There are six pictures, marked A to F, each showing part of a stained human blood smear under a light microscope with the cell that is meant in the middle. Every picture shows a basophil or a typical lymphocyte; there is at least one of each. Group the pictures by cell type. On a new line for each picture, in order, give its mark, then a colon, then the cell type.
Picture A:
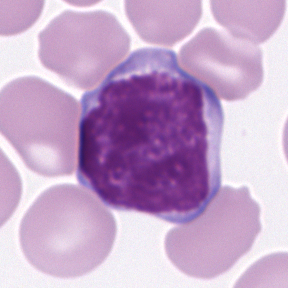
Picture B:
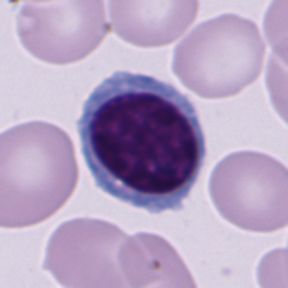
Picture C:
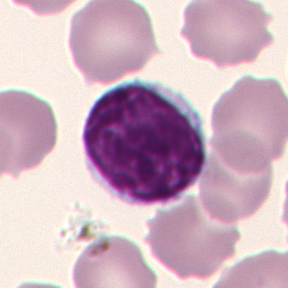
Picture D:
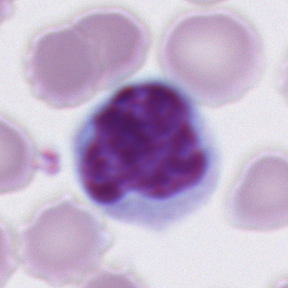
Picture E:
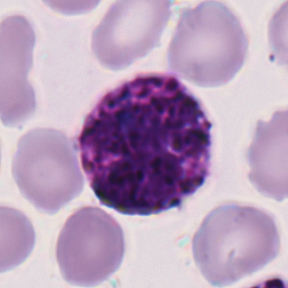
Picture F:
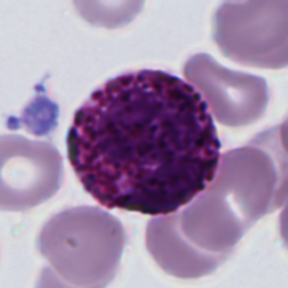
A: typical lymphocyte
B: typical lymphocyte
C: typical lymphocyte
D: typical lymphocyte
E: basophil
F: basophil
